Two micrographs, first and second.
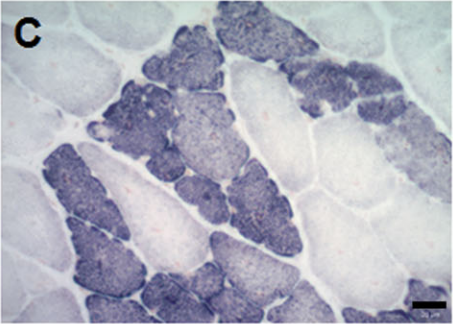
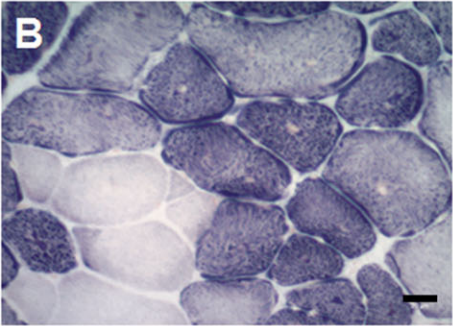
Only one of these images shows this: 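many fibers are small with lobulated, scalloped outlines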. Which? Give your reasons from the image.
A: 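The first image. First image: many small, dark fibers with irregular lobed edges. Second image: fibers are larger and mostly rounded to polygonal with smooth outlines.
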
